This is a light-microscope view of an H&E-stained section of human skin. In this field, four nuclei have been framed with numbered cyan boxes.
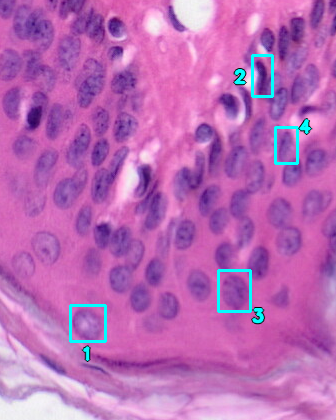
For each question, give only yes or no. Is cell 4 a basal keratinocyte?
yes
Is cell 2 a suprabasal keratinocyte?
no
